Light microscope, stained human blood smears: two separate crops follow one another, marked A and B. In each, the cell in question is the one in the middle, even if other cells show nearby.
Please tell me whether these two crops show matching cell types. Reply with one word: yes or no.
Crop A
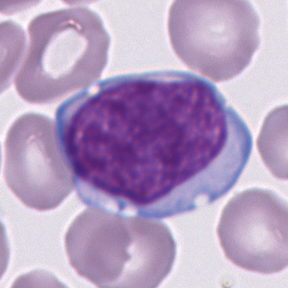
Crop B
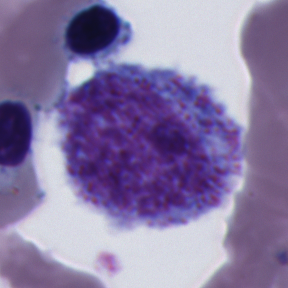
no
